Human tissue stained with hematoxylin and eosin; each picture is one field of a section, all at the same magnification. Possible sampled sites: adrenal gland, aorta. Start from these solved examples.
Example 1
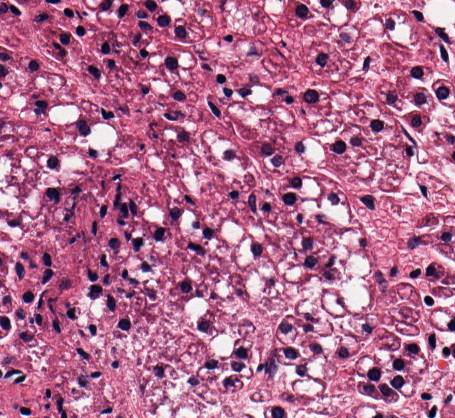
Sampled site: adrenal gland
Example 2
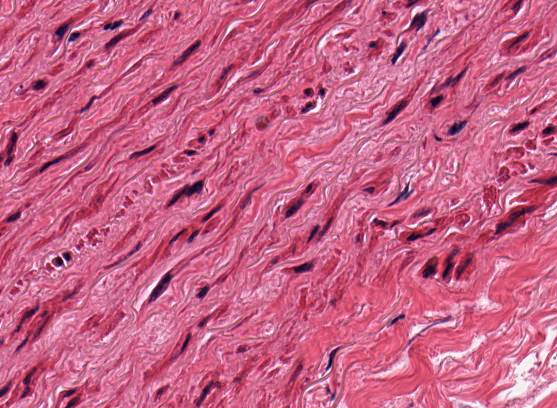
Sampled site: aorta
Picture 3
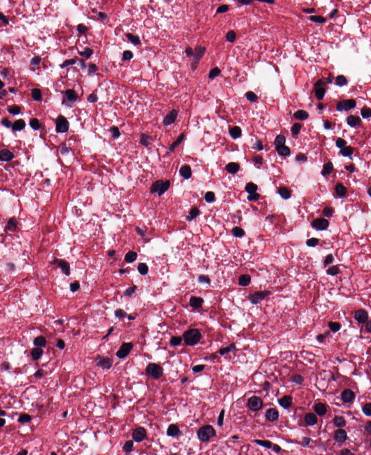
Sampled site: adrenal gland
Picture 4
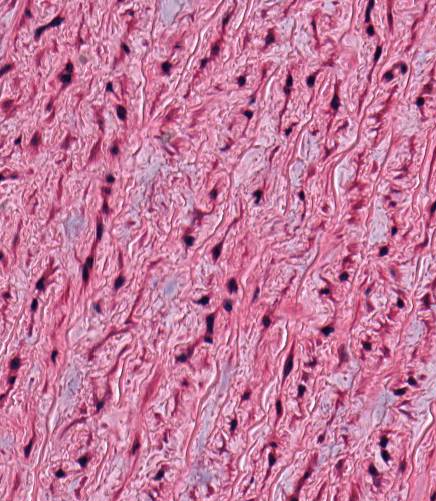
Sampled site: aorta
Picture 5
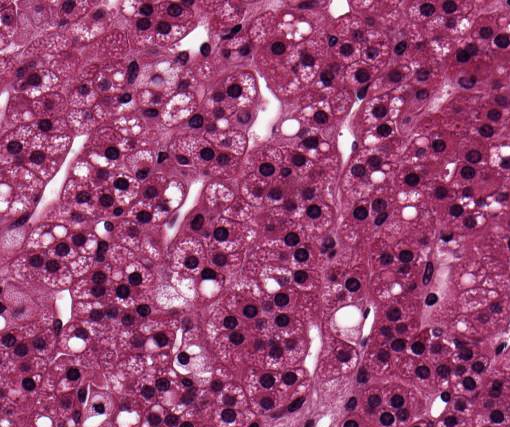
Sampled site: adrenal gland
